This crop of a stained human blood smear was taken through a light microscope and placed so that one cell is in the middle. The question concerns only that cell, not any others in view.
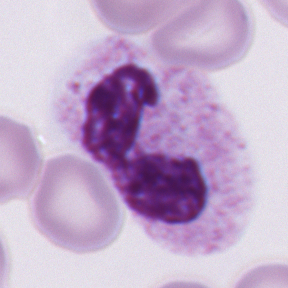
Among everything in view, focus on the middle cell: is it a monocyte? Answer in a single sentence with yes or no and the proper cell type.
No, the cell at the centre is categorised not as a monocyte but as a neutrophil.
